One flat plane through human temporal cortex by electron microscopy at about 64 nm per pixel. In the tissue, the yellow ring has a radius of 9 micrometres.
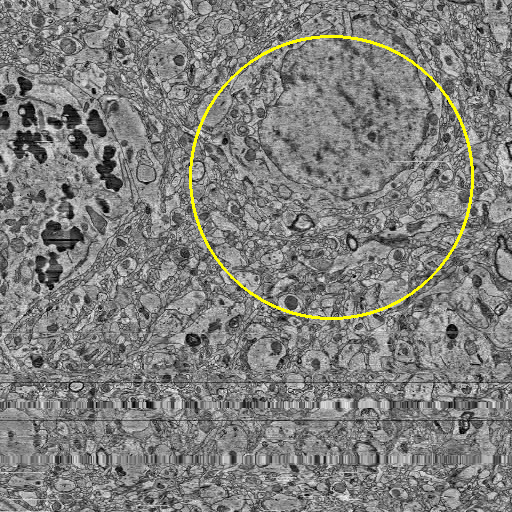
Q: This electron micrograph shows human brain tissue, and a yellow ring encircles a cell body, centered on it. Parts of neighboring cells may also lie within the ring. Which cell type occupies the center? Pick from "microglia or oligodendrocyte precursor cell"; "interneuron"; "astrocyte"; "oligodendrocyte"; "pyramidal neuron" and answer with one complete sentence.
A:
What sits at the ring's center in this micrograph is an interneuron, among those choices.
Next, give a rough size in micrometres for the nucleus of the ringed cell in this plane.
The nucleus of the ringed cell is approximately 11 micrometres across in this plane.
